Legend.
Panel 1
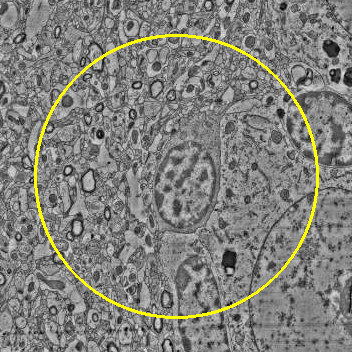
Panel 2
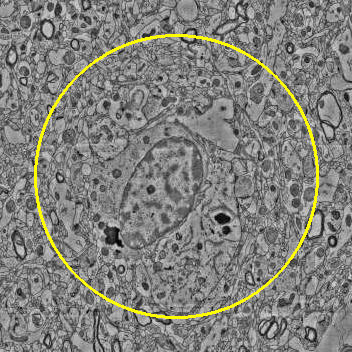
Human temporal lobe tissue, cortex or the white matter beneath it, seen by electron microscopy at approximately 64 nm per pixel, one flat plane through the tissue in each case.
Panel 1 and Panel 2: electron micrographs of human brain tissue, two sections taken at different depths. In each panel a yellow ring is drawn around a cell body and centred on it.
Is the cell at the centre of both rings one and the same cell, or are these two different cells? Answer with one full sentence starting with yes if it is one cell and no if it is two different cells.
No, the rings mark separate cells, one per ring.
